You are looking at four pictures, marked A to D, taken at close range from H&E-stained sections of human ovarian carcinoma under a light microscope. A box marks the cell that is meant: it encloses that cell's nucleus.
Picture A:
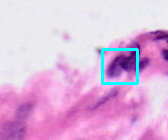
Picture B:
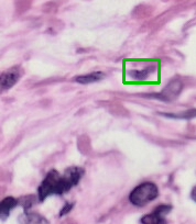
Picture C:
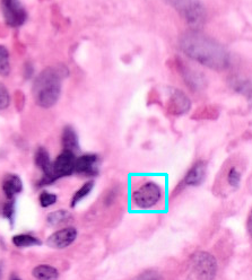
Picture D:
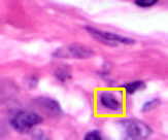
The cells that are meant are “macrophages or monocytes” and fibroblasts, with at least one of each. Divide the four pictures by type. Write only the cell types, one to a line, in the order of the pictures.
macrophage or monocyte
fibroblast
macrophage or monocyte
macrophage or monocyte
